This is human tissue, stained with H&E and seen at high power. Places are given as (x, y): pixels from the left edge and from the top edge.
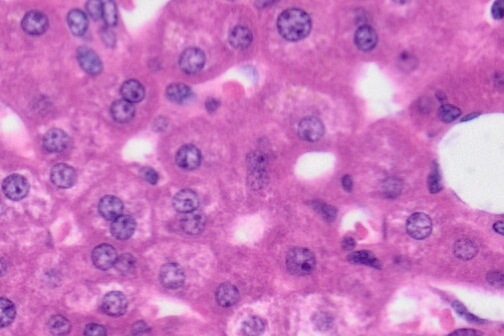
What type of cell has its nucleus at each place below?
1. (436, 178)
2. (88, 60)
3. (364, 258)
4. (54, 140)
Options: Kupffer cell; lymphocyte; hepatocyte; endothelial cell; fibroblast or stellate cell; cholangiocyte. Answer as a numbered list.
1. fibroblast or stellate cell
2. cholangiocyte
3. fibroblast or stellate cell
4. hepatocyte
